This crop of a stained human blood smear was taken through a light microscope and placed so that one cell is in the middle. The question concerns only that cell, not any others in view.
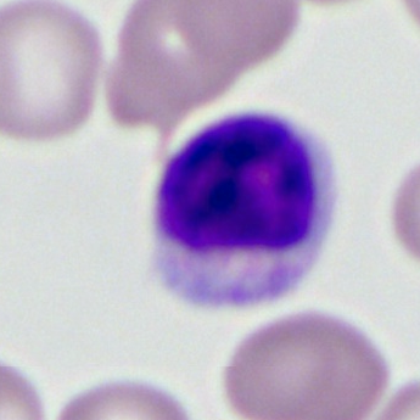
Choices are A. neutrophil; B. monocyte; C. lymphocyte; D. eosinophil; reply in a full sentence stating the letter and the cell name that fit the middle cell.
The correct identification, given in option C, is that the central cell is a lymphocyte.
